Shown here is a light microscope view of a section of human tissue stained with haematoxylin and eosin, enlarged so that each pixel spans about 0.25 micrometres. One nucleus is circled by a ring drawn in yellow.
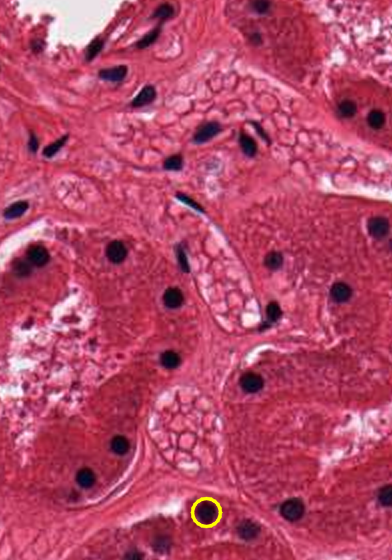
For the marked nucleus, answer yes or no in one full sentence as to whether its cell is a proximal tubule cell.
Yes, the marked nucleus is recognised as belonging to a proximal tubule cell.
